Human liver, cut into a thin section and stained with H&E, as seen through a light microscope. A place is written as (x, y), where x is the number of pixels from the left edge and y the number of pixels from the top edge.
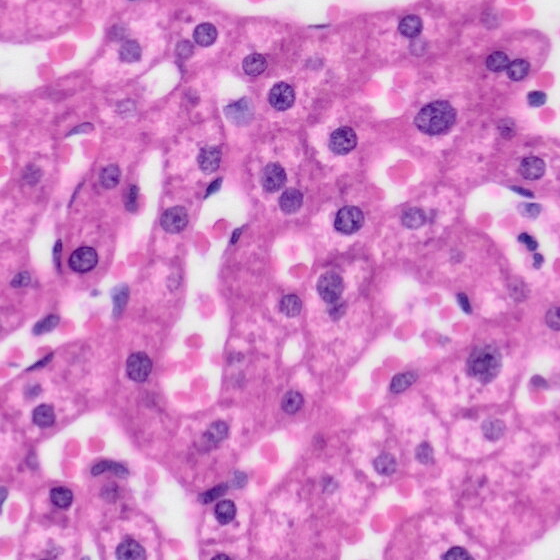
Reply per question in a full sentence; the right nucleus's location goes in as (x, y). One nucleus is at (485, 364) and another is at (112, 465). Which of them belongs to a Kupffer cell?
The nucleus located at (112, 465) is the one held within a Kupffer cell.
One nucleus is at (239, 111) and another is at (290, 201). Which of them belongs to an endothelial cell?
Identified as belonging to an endothelial cell is the nucleus at (239, 111).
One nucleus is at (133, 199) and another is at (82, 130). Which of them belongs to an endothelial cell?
The nucleus that belongs to an endothelial cell sits at (82, 130).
